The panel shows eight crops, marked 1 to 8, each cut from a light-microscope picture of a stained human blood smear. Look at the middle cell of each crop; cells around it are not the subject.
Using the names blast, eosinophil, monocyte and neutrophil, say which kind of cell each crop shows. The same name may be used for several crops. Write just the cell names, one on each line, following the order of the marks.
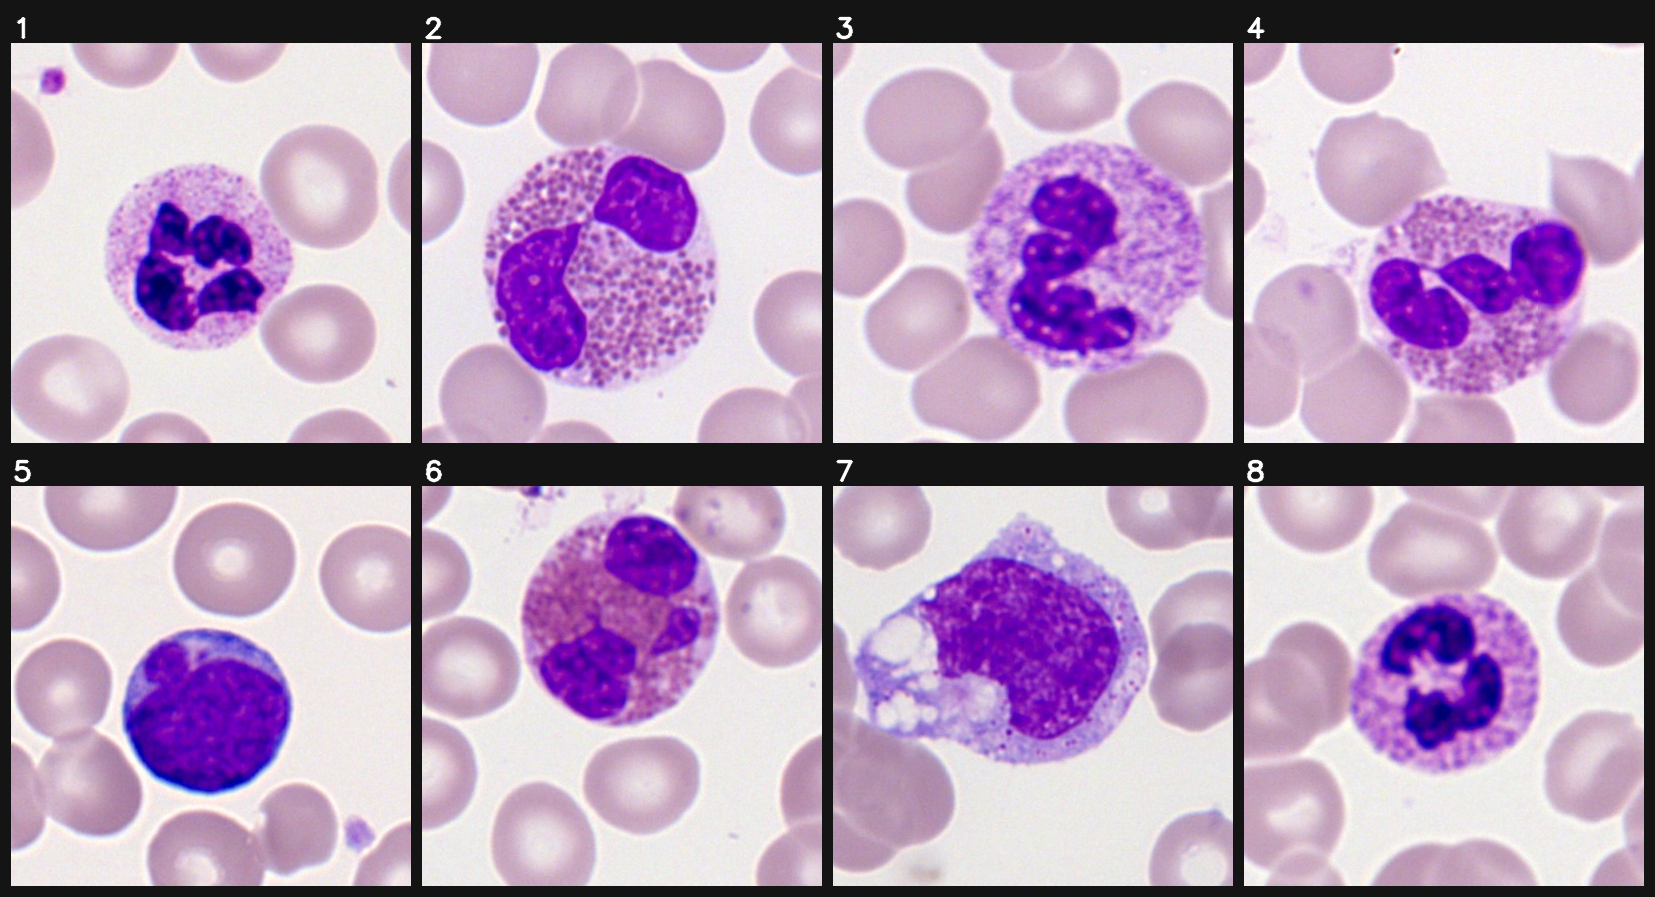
neutrophil
eosinophil
neutrophil
eosinophil
blast
eosinophil
monocyte
neutrophil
